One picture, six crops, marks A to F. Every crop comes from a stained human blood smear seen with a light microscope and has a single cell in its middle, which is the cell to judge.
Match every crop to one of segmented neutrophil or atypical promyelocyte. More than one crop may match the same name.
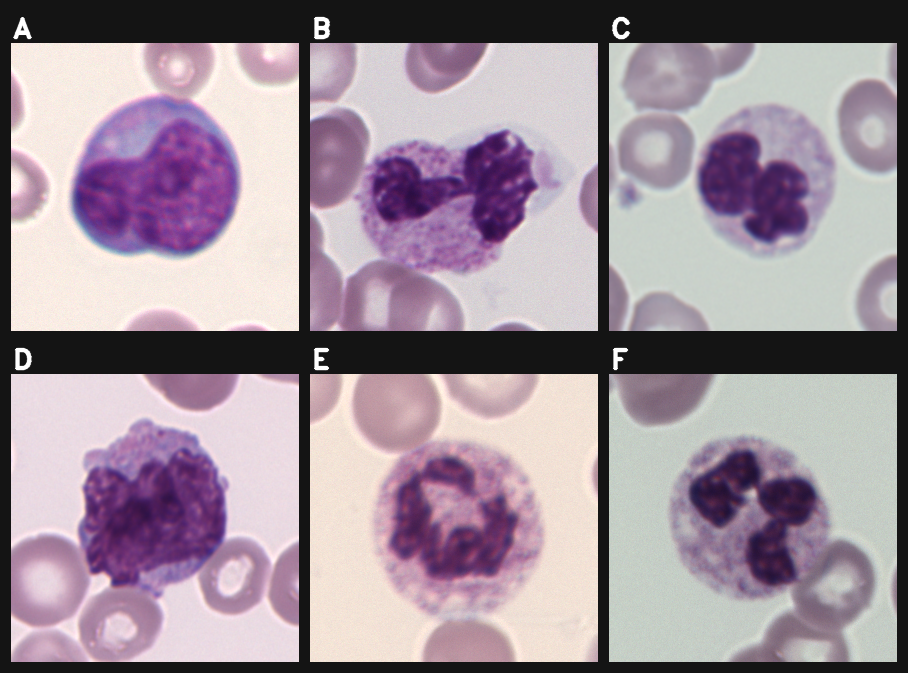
A: atypical promyelocyte
B: segmented neutrophil
C: segmented neutrophil
D: atypical promyelocyte
E: segmented neutrophil
F: segmented neutrophil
